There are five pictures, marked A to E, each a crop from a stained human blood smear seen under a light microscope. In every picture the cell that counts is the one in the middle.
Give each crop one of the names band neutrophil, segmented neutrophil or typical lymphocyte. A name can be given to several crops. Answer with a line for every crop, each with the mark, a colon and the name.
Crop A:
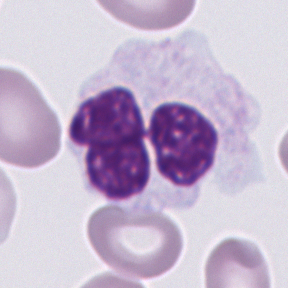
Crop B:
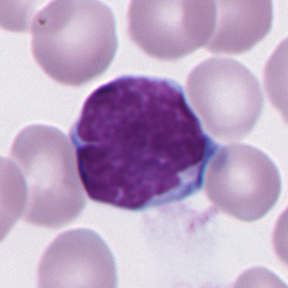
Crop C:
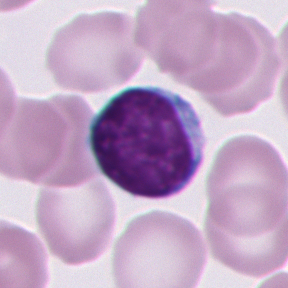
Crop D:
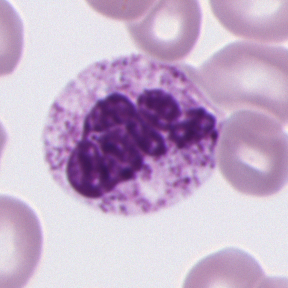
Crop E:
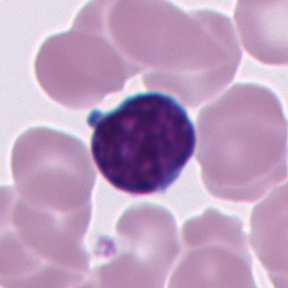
A: segmented neutrophil
B: typical lymphocyte
C: typical lymphocyte
D: segmented neutrophil
E: typical lymphocyte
